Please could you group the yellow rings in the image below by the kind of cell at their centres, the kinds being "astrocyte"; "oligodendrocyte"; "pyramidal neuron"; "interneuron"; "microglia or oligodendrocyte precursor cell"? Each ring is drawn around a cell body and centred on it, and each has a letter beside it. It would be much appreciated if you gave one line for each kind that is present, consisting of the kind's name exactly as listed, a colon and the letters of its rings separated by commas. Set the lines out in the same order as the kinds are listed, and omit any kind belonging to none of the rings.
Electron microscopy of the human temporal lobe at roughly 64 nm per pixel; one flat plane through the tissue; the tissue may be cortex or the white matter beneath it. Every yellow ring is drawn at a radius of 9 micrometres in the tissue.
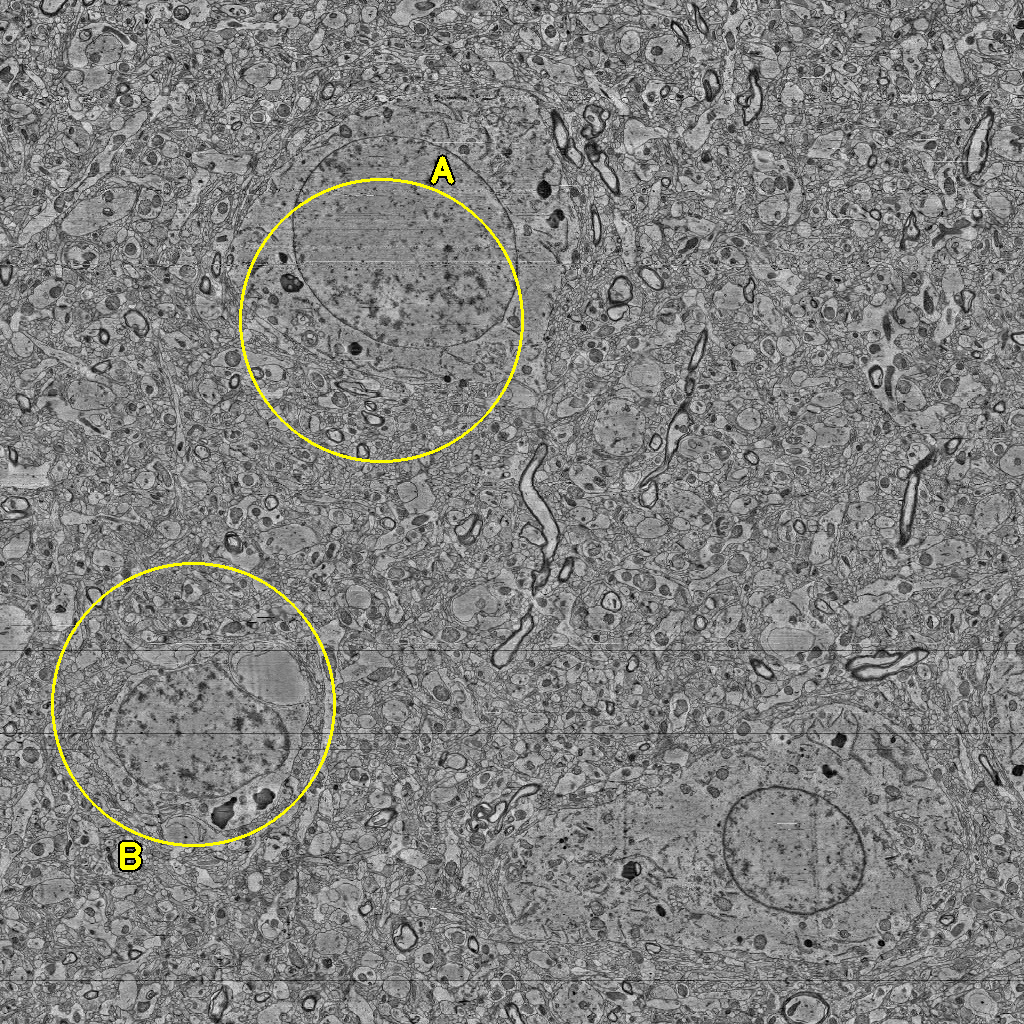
pyramidal neuron: A
interneuron: B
